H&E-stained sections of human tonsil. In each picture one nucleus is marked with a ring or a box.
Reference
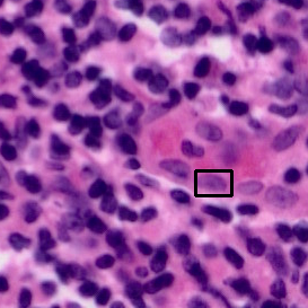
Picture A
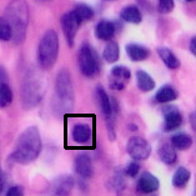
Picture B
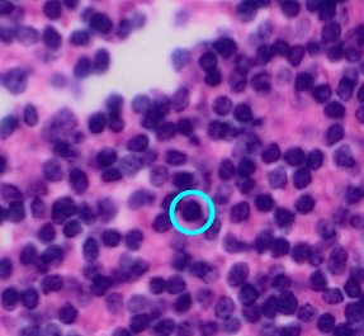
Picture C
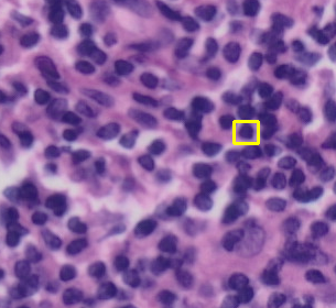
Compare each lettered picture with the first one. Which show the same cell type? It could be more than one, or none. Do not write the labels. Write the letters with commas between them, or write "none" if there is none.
A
